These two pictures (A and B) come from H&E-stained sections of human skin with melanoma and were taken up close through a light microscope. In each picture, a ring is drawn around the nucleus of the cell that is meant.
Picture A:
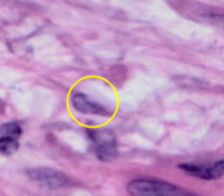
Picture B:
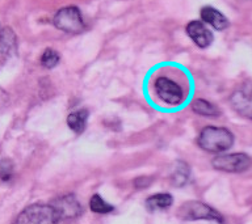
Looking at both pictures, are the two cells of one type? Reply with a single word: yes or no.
no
